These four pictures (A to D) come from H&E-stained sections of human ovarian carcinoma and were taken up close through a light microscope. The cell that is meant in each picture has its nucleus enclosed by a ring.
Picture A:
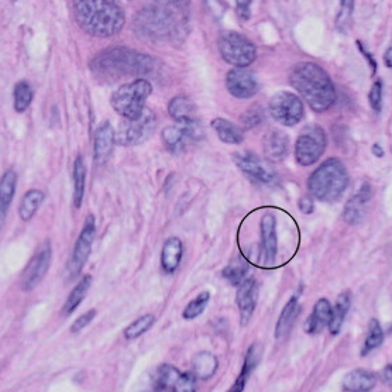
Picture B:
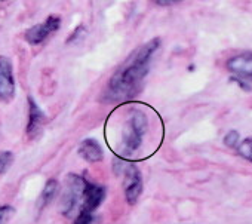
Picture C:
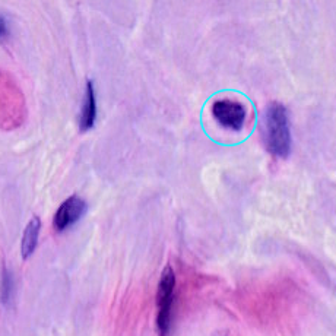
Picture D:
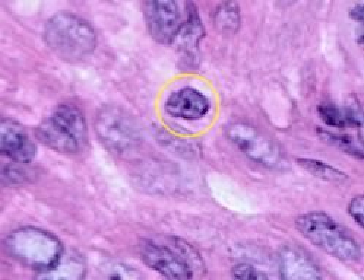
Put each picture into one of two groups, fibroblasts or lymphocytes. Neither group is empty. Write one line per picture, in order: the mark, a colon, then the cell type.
A: fibroblast
B: fibroblast
C: lymphocyte
D: lymphocyte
